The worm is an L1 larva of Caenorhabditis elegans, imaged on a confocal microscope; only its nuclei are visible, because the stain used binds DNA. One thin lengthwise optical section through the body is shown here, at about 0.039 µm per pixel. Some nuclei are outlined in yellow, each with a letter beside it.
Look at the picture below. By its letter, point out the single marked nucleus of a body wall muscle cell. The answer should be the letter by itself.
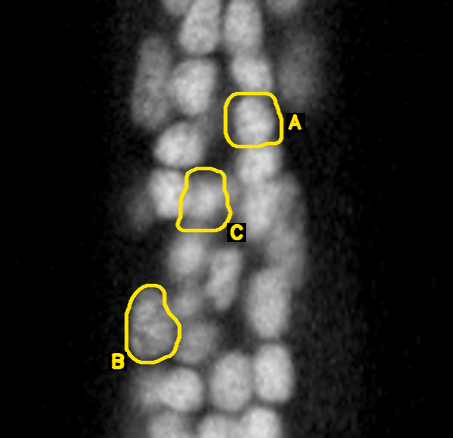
B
